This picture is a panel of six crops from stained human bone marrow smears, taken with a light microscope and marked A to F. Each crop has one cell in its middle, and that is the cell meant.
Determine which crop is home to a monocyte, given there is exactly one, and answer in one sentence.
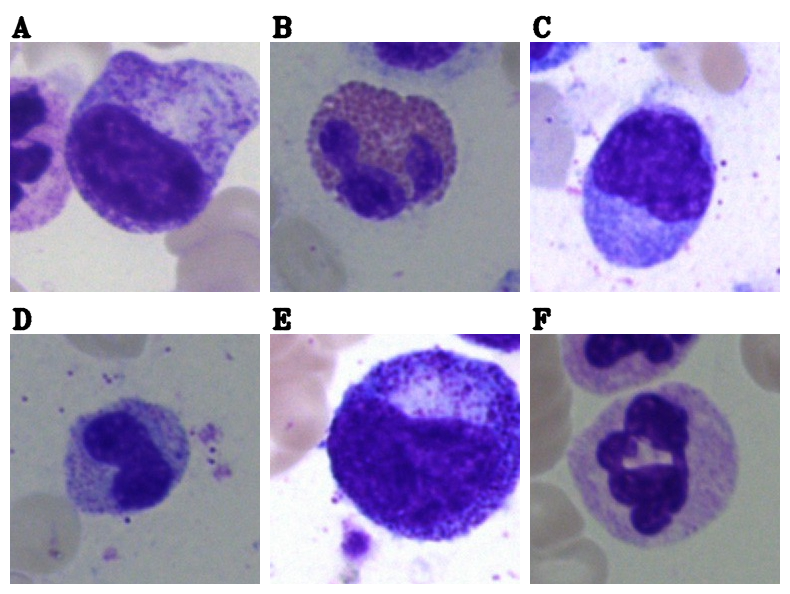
Crop C is the crop whose central cell is a monocyte.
